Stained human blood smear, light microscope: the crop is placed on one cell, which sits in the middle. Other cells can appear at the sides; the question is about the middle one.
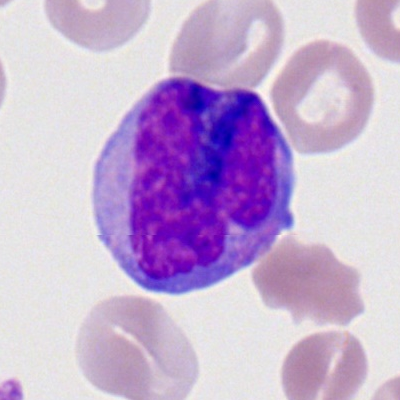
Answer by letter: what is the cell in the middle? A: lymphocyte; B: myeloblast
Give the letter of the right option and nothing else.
B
